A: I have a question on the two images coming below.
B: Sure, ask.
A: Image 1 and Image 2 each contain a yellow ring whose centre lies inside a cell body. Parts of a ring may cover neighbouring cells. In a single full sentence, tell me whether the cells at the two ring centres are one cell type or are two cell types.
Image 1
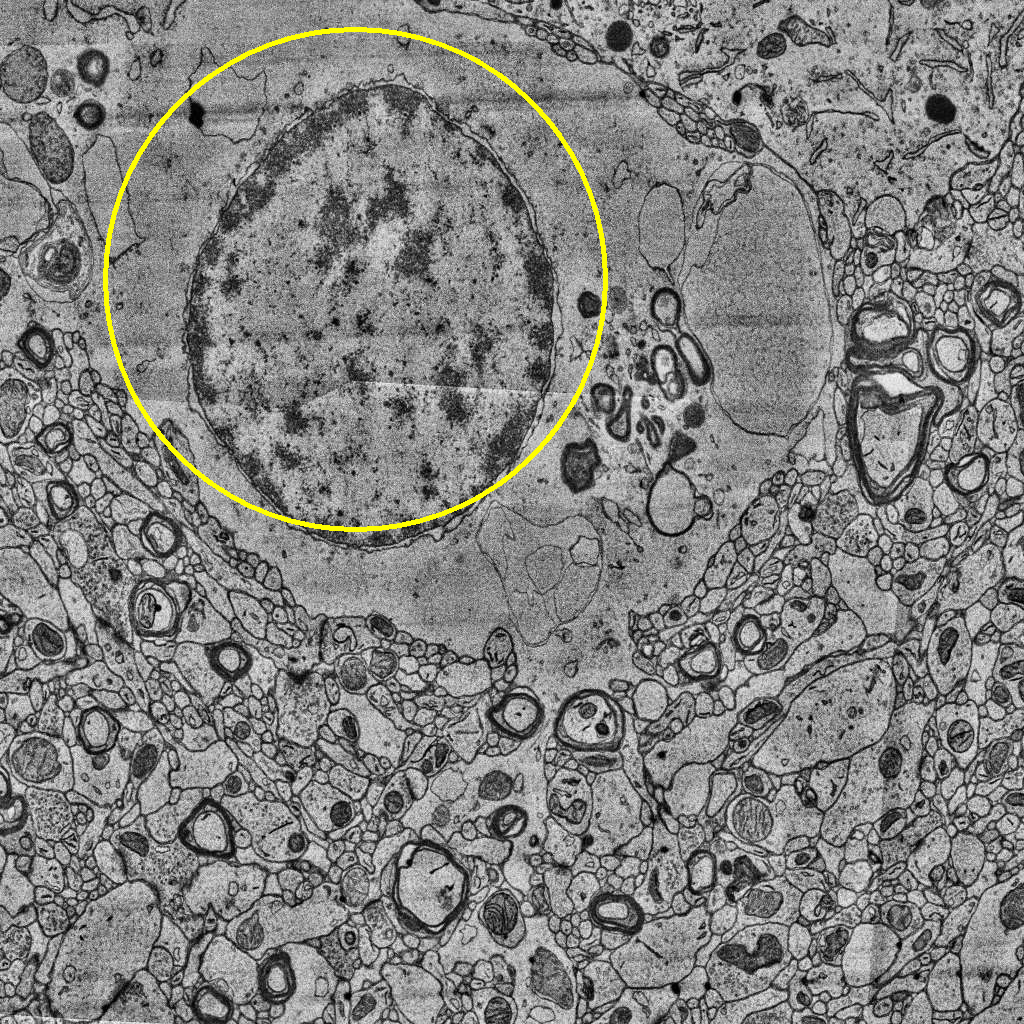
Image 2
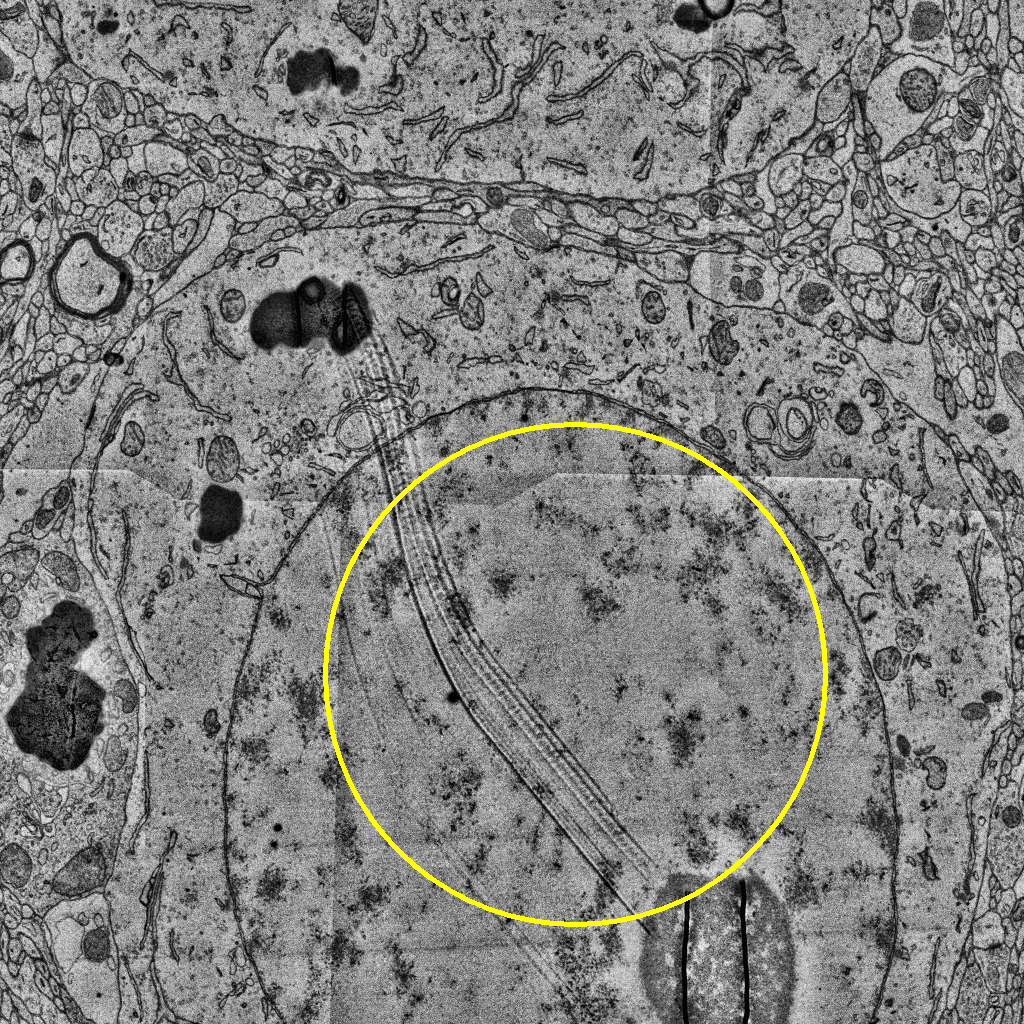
As for the ring-centre cells, the one in Image 1 and the one in Image 2 are two cell types.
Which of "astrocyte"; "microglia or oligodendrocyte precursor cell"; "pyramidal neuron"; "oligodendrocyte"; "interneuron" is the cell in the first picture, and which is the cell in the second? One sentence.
The two differ: the first cell is an astrocyte and the second is a pyramidal neuron.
